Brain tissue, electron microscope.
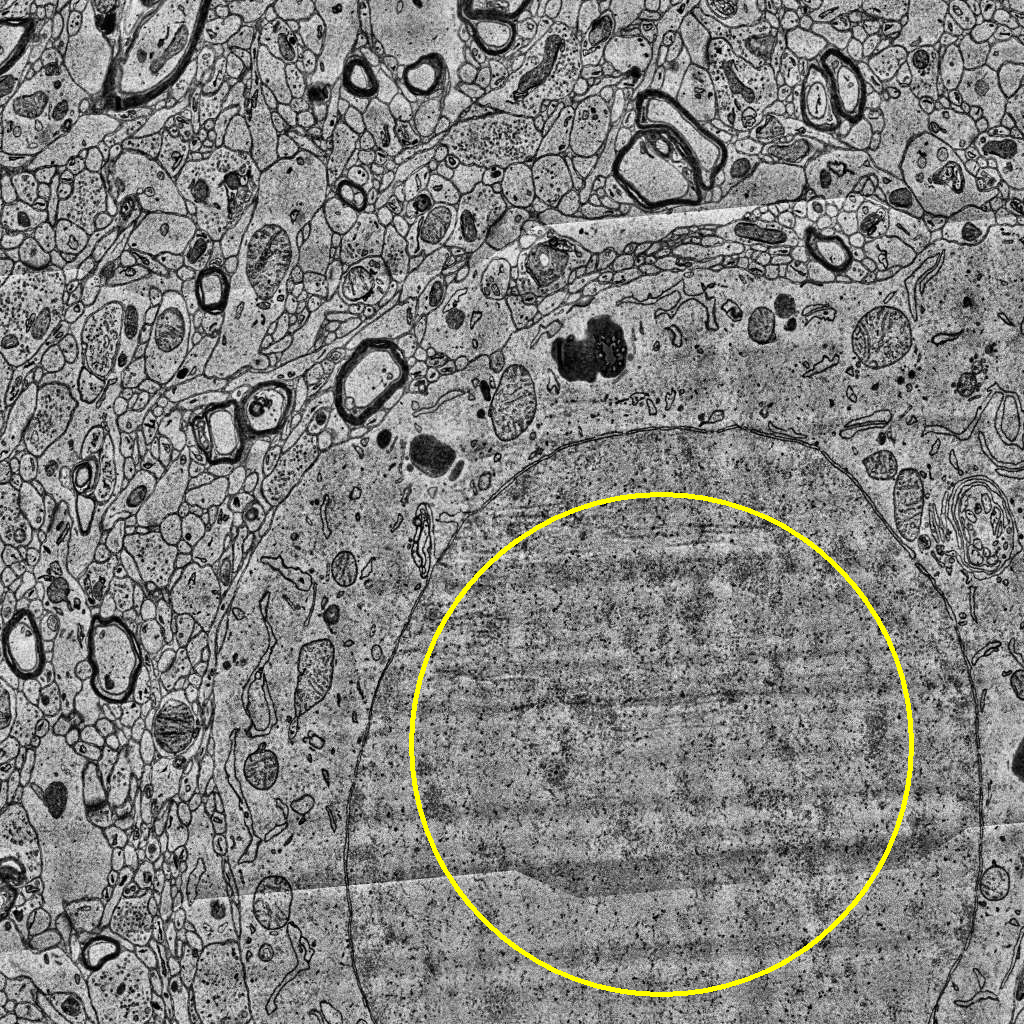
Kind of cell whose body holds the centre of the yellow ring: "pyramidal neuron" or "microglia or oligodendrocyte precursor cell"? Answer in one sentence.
The ring's centre falls on a pyramidal neuron.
